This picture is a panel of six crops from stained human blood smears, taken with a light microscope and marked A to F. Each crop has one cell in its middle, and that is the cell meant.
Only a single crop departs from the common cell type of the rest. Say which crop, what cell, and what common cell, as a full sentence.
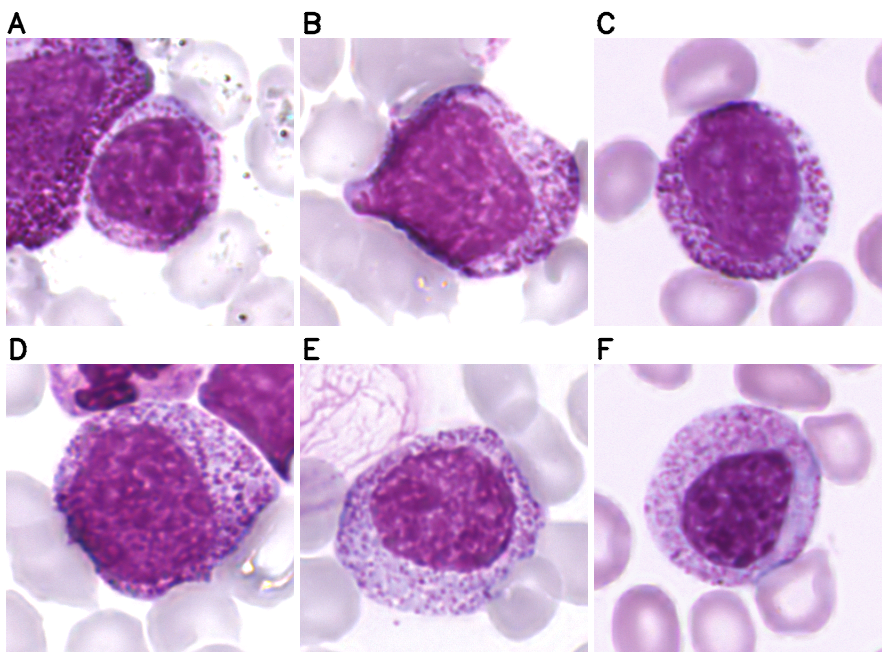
In crop B the central cell is a promyelocyte, whereas the other crops all contain myelocytes.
